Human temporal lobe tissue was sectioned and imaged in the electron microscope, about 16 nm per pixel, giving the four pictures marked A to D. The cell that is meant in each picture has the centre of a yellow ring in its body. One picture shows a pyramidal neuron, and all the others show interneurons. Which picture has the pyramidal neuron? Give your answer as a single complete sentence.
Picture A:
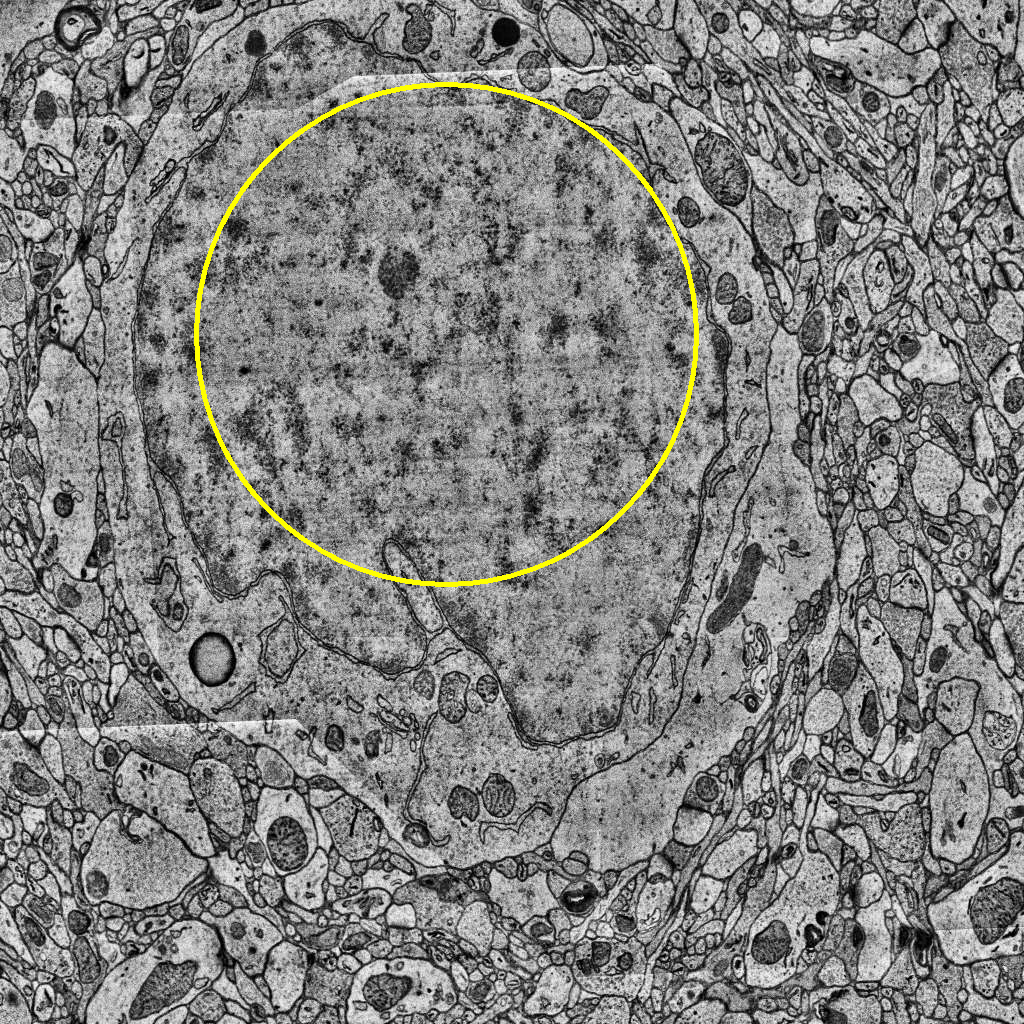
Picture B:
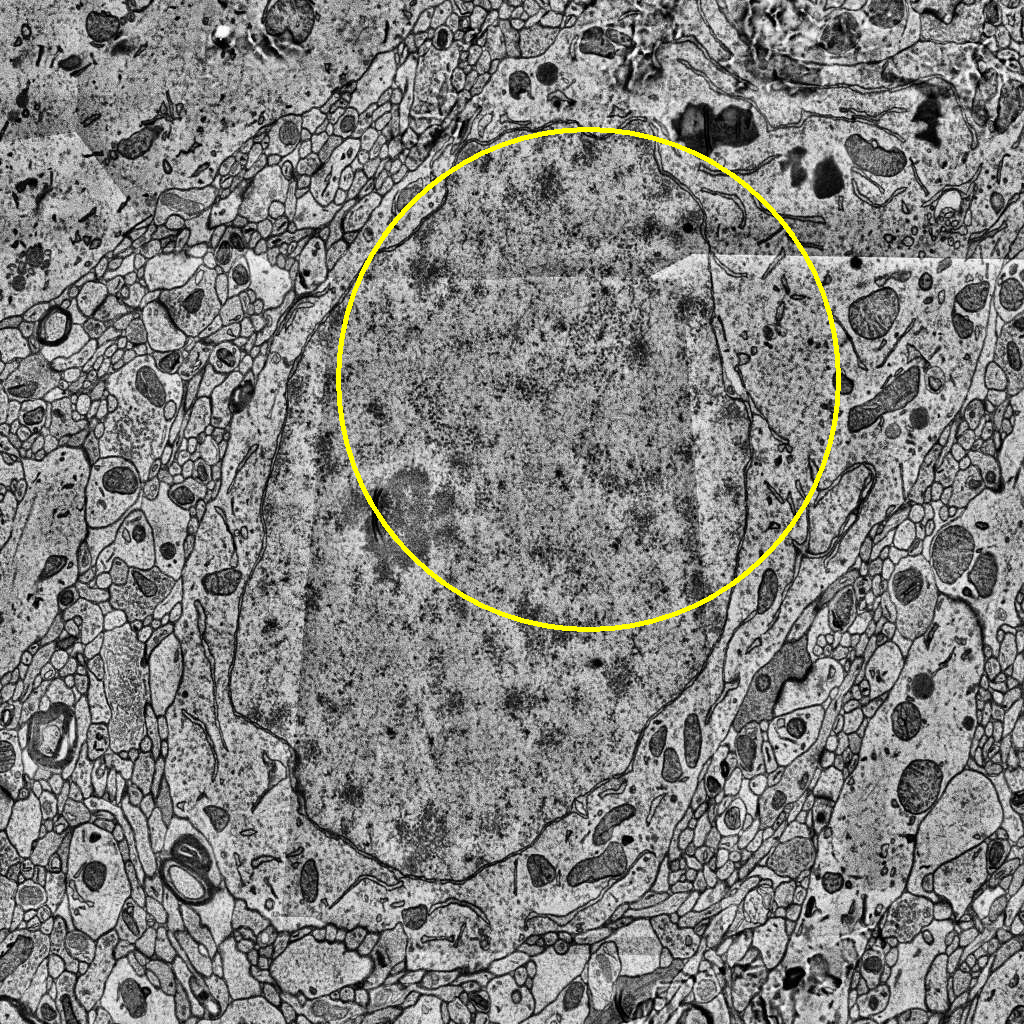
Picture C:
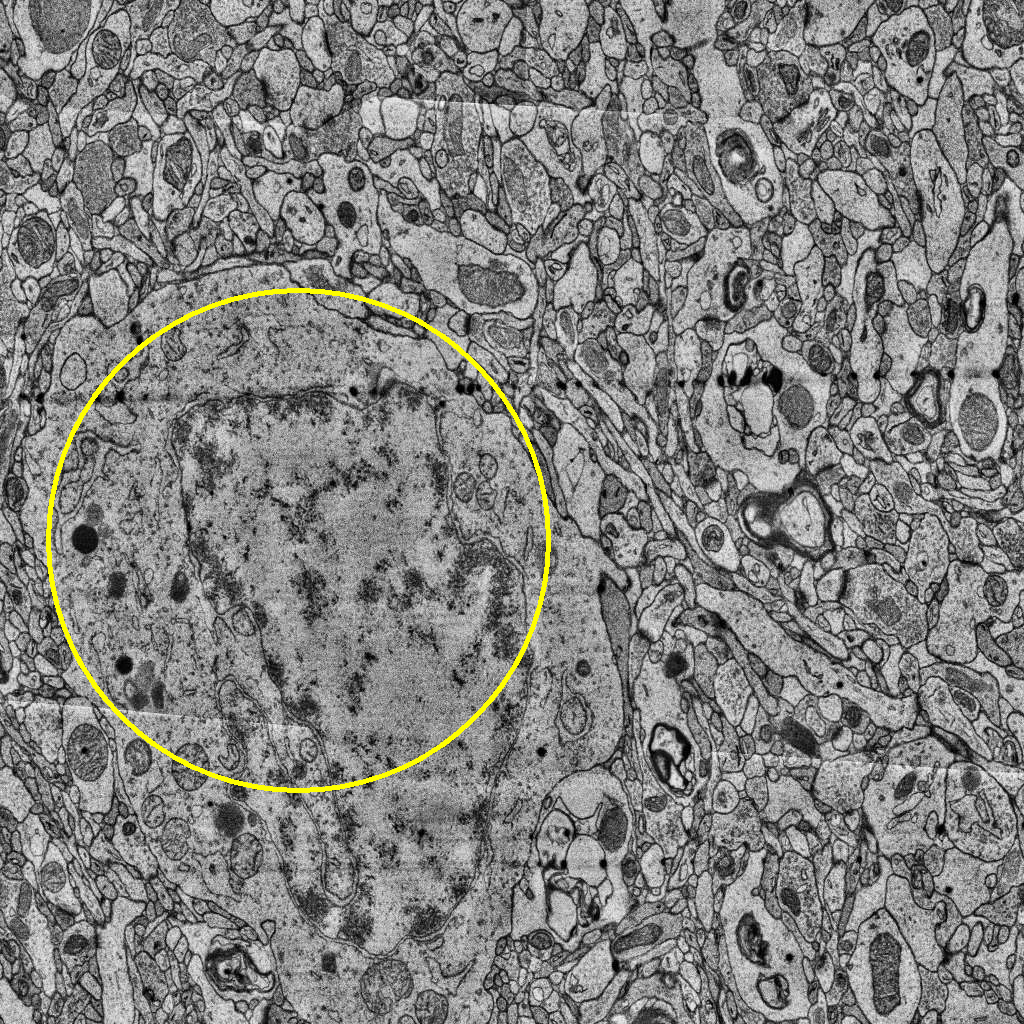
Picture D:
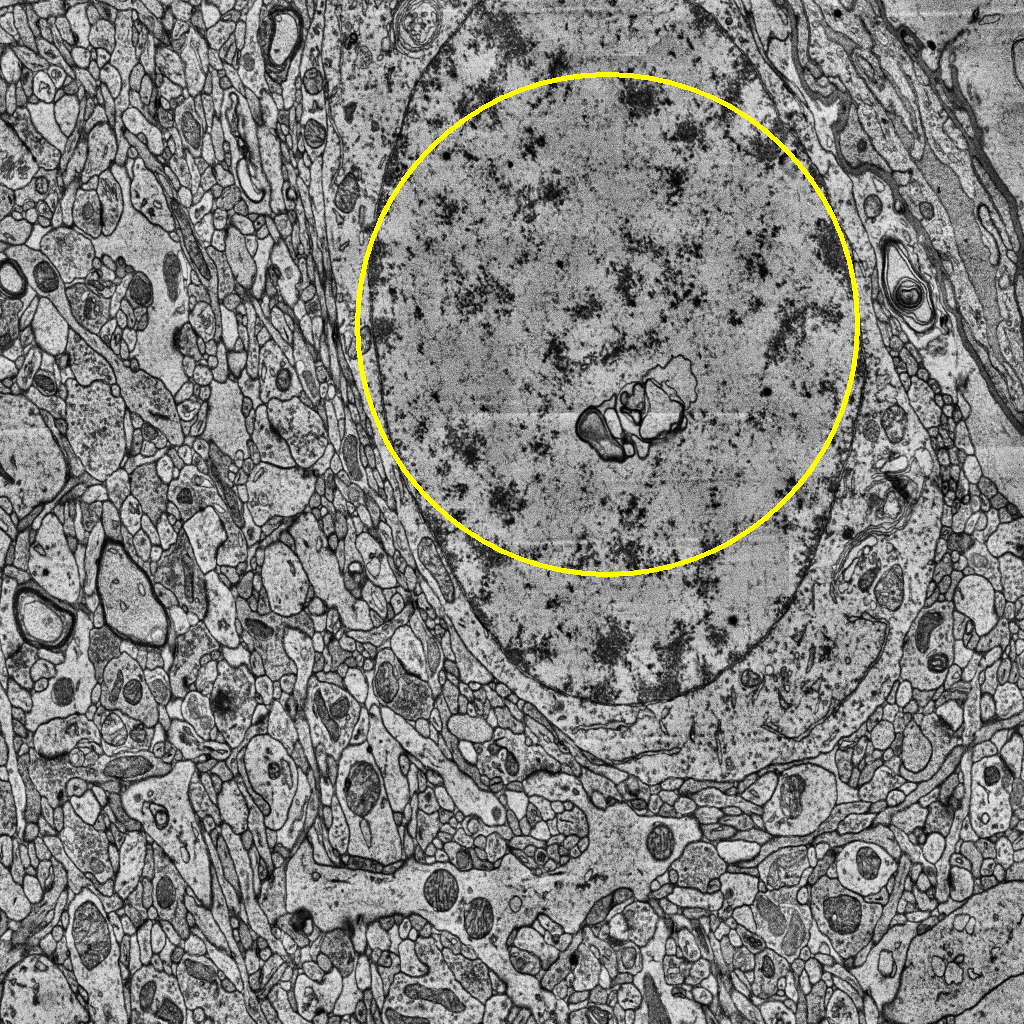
Picture D is the one that shows the pyramidal neuron.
